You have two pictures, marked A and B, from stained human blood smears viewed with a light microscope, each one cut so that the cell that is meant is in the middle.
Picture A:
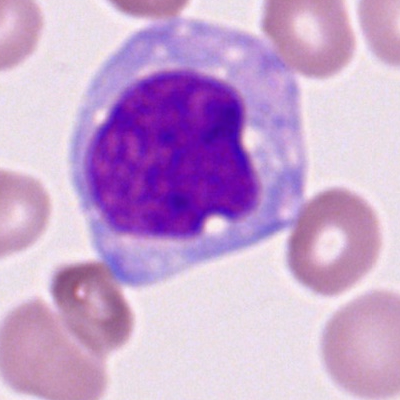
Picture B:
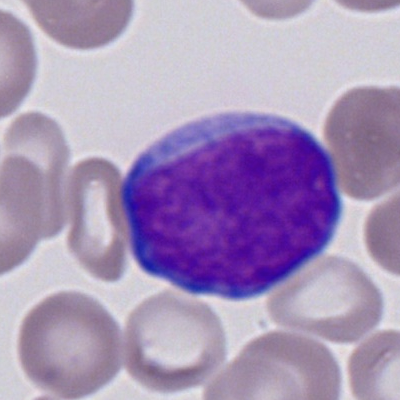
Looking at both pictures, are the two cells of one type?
no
